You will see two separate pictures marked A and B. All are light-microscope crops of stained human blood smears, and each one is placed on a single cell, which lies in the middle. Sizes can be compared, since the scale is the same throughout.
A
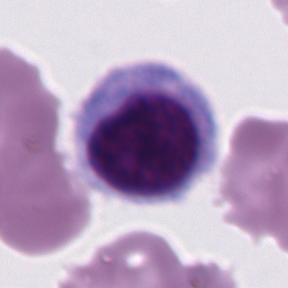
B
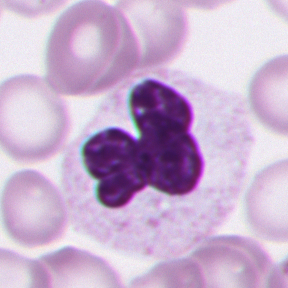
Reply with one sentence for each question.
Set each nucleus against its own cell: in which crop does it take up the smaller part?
The nucleus fills less of the cell in crop B than in crop A.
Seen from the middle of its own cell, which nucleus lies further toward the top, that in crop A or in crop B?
The nucleus in crop B lies further toward the top of its cell.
